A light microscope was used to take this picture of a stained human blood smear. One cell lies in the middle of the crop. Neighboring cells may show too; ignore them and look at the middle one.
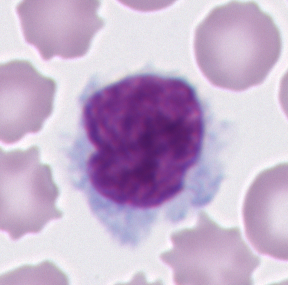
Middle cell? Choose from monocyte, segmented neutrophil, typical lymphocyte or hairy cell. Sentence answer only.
Present in the middle of the crop is a hairy cell.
